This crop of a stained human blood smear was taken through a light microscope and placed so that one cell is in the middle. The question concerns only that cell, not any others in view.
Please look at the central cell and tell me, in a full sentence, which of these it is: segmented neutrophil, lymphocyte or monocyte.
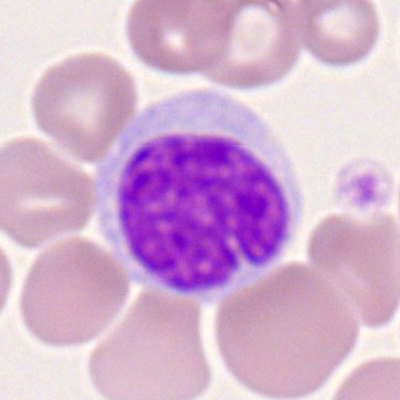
The middle of this crop is occupied by a monocyte.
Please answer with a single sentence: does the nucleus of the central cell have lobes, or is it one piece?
The nuclear material is gathered into one compact round, oval or kidney-shaped mass.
